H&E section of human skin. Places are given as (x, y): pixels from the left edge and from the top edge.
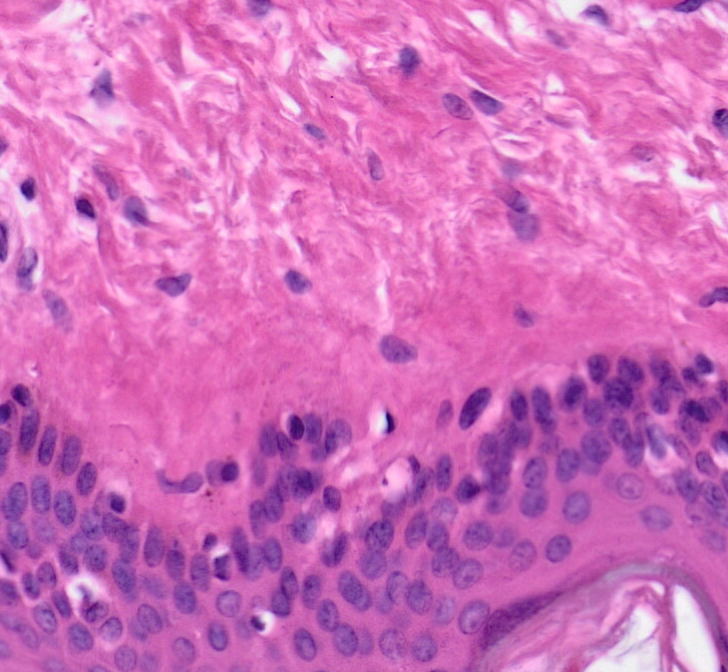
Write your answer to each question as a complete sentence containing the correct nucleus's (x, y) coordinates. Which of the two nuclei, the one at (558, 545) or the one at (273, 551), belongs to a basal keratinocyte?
The nucleus contained in a basal keratinocyte is the one at (273, 551).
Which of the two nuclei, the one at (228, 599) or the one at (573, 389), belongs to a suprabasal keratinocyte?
The nucleus of the pair that lies within a suprabasal keratinocyte is at (228, 599).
